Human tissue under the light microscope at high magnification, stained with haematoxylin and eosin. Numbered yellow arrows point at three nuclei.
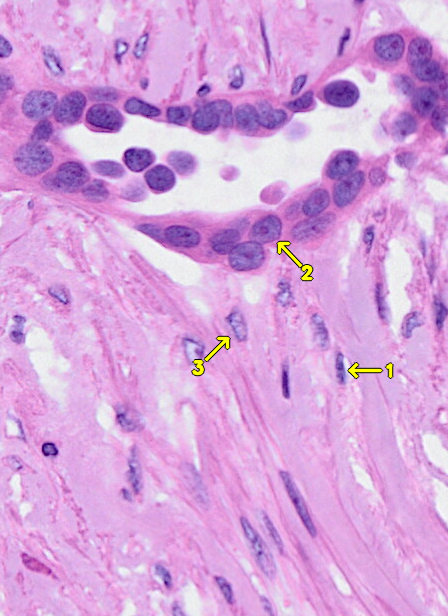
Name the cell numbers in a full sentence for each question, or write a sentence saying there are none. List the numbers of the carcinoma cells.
Of the numbered nuclei, only the one labelled 2 belongs to a carcinoma cell.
